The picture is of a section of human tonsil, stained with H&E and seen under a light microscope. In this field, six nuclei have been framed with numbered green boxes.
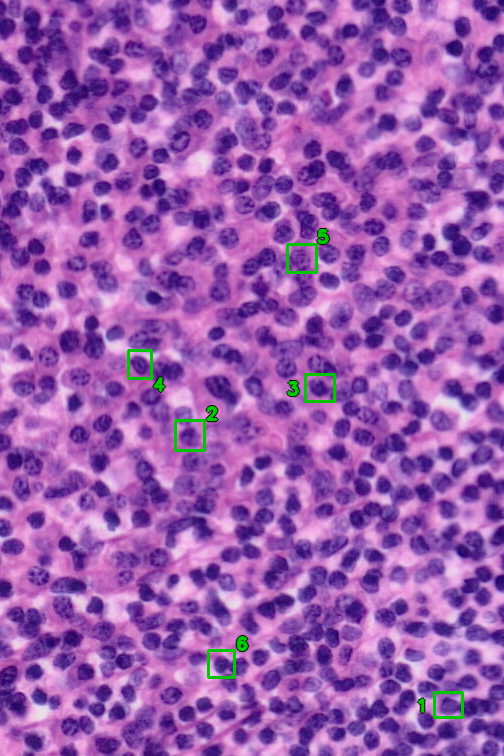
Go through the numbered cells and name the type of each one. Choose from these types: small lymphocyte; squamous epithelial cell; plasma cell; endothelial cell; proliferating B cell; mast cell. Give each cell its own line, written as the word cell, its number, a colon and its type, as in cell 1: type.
cell 1: small lymphocyte
cell 2: plasma cell
cell 3: plasma cell
cell 4: plasma cell
cell 5: plasma cell
cell 6: small lymphocyte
